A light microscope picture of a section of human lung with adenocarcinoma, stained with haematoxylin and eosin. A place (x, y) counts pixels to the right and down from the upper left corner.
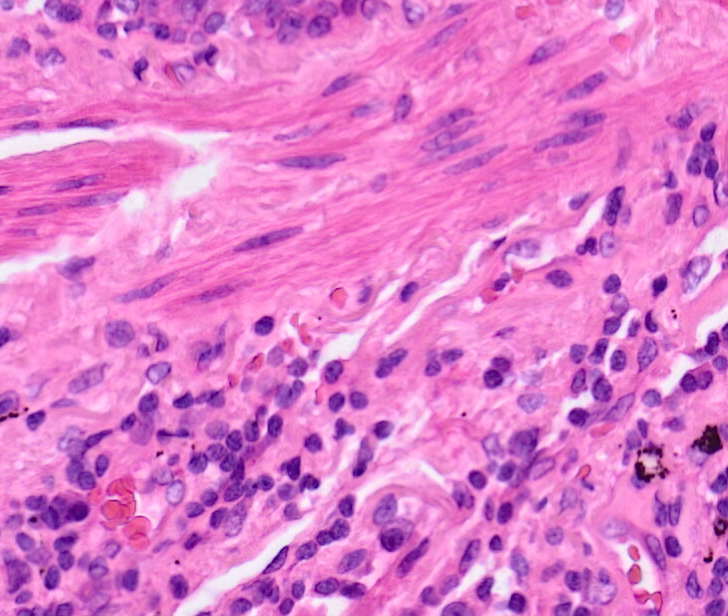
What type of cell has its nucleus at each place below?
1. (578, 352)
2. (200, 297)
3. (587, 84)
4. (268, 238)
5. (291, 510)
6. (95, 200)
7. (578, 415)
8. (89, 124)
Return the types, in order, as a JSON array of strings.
["lymphocyte", "smooth muscle cell or pericyte", "smooth muscle cell or pericyte", "smooth muscle cell or pericyte", "lymphocyte", "smooth muscle cell or pericyte", "lymphocyte", "smooth muscle cell or pericyte"]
